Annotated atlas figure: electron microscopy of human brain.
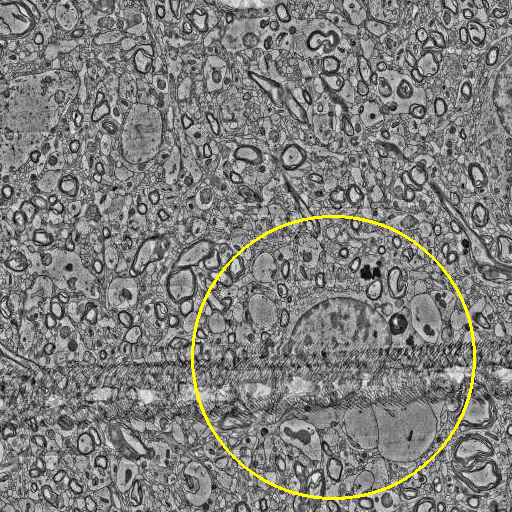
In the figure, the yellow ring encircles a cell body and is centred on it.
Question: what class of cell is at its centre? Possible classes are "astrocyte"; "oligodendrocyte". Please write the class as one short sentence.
The yellow ring is drawn around an oligodendrocyte.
